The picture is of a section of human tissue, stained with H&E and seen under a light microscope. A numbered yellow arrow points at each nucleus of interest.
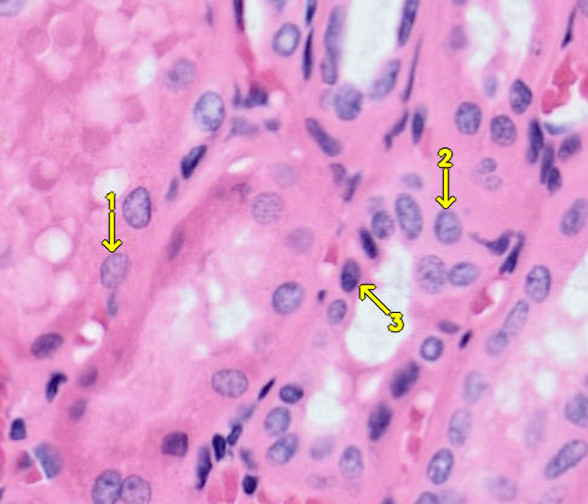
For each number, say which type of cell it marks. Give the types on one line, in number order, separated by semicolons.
proximal tubule cell; collecting duct cell; collecting duct cell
